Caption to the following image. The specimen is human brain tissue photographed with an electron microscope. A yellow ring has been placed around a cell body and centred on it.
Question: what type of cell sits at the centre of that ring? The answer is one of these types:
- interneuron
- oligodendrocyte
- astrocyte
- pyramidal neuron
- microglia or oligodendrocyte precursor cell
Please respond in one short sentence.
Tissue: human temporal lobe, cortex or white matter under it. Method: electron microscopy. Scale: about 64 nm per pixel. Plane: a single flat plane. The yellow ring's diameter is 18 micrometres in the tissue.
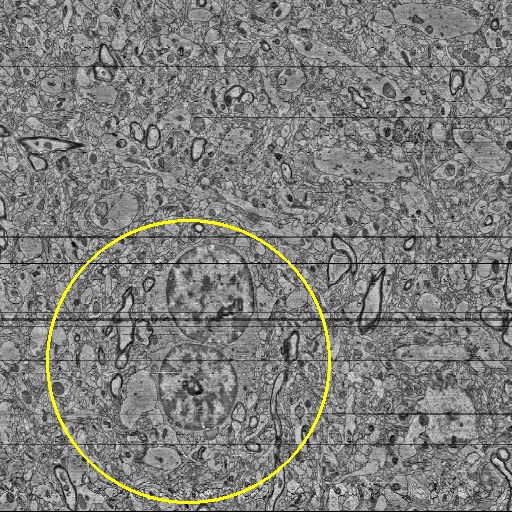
The ring surrounds the cell body of an oligodendrocyte.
